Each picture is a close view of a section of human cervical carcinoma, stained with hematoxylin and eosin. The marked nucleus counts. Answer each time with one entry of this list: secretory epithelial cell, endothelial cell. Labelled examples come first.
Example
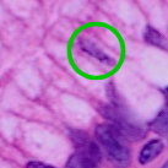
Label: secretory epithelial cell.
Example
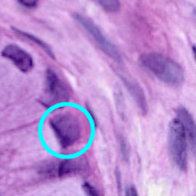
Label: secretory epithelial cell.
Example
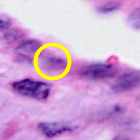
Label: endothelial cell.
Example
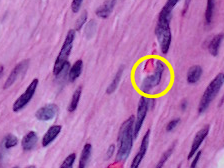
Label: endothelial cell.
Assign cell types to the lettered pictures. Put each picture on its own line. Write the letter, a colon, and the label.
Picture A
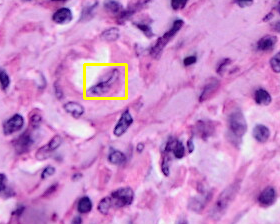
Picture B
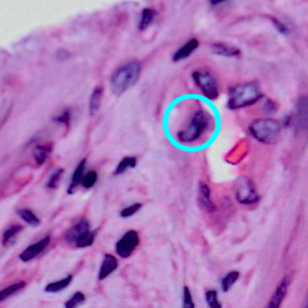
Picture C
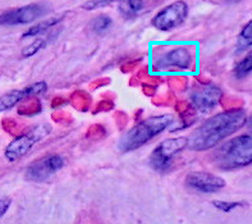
A: endothelial cell.
B: endothelial cell.
C: endothelial cell.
